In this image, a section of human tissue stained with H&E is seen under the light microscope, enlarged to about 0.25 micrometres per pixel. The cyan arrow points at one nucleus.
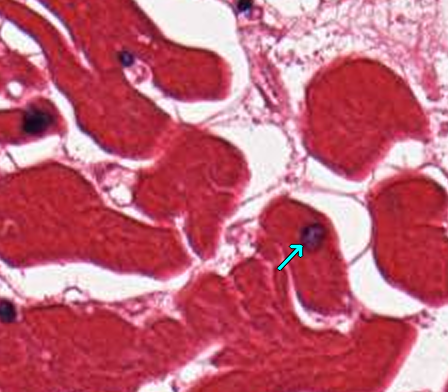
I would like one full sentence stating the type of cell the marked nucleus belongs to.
Located in a cardiomyocyte is the marked nucleus.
